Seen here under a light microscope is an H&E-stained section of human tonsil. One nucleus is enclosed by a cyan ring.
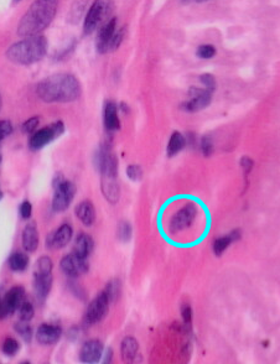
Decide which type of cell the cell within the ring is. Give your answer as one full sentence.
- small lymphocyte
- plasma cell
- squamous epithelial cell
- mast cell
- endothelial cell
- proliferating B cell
As to its cell type, the cell within the ring is a mast cell.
